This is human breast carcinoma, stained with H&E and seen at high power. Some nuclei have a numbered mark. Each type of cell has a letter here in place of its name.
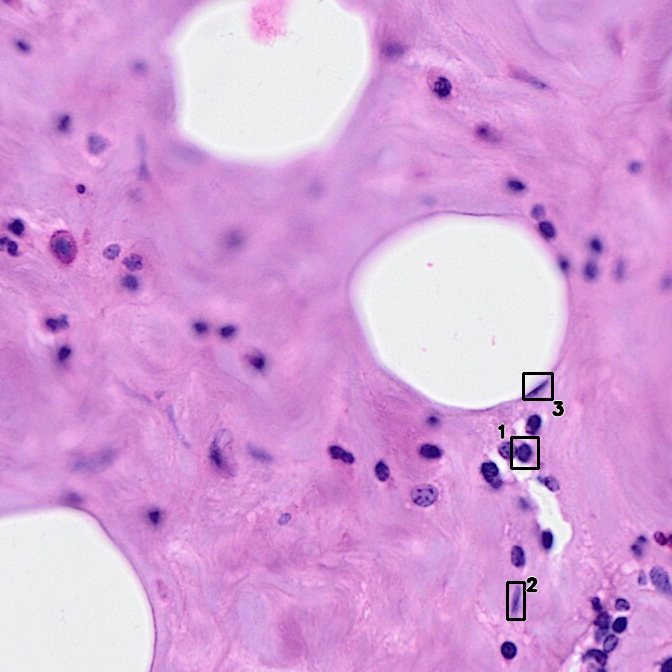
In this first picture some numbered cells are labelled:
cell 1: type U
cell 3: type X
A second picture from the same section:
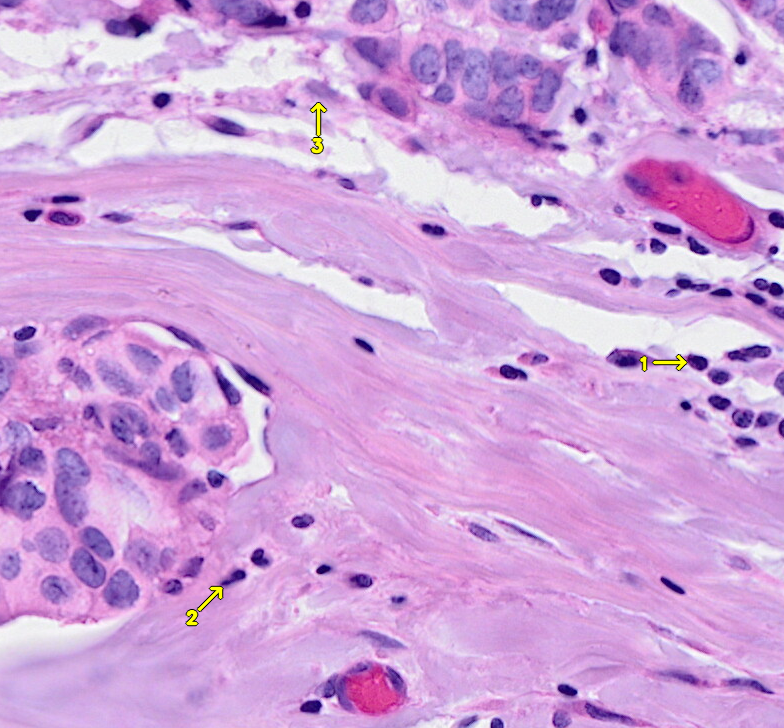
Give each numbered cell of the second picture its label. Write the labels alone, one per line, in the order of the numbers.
type U
type U
type X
